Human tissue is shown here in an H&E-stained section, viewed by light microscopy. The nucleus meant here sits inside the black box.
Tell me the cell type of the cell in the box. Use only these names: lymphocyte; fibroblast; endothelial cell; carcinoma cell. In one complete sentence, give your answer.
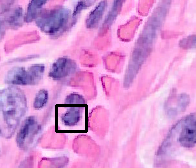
For the purposes of cell typing, the cell in the box is categorized as an endothelial cell.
